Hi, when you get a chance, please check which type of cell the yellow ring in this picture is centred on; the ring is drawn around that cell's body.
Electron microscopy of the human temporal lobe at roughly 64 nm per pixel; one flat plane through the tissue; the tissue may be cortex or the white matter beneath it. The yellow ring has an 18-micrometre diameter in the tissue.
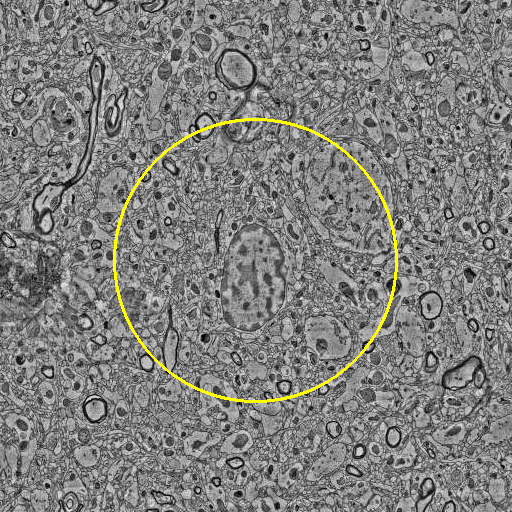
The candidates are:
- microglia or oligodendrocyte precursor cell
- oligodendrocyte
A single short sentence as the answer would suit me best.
The ring is drawn around the body of a microglial cell or oligodendrocyte precursor cell.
